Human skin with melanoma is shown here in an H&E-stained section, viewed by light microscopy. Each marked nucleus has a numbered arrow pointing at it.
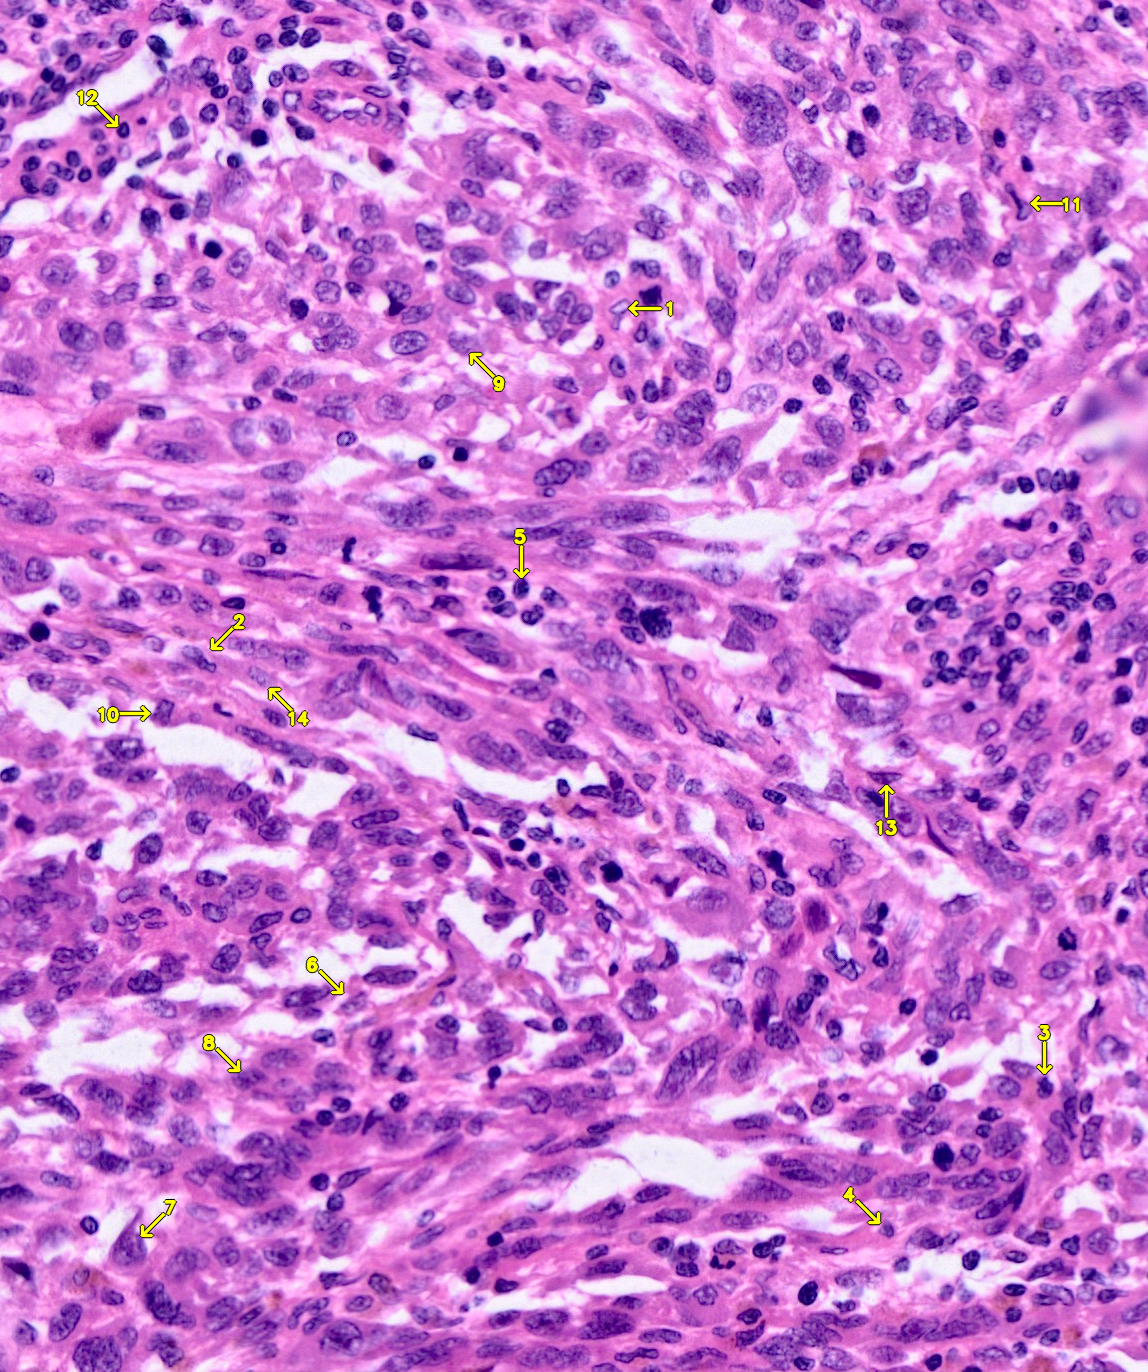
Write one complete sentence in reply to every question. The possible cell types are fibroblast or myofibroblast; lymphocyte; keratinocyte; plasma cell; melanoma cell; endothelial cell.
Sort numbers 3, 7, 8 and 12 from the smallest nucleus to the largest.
By area, going up from the smallest, they rank 12, 3, 8, 7.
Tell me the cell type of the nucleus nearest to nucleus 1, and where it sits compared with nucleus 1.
The nearest one is an endothelial cell, found below nucleus 1.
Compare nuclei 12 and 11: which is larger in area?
Nucleus 11 is the larger one, covering about 2.5 times the area of nucleus 12.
